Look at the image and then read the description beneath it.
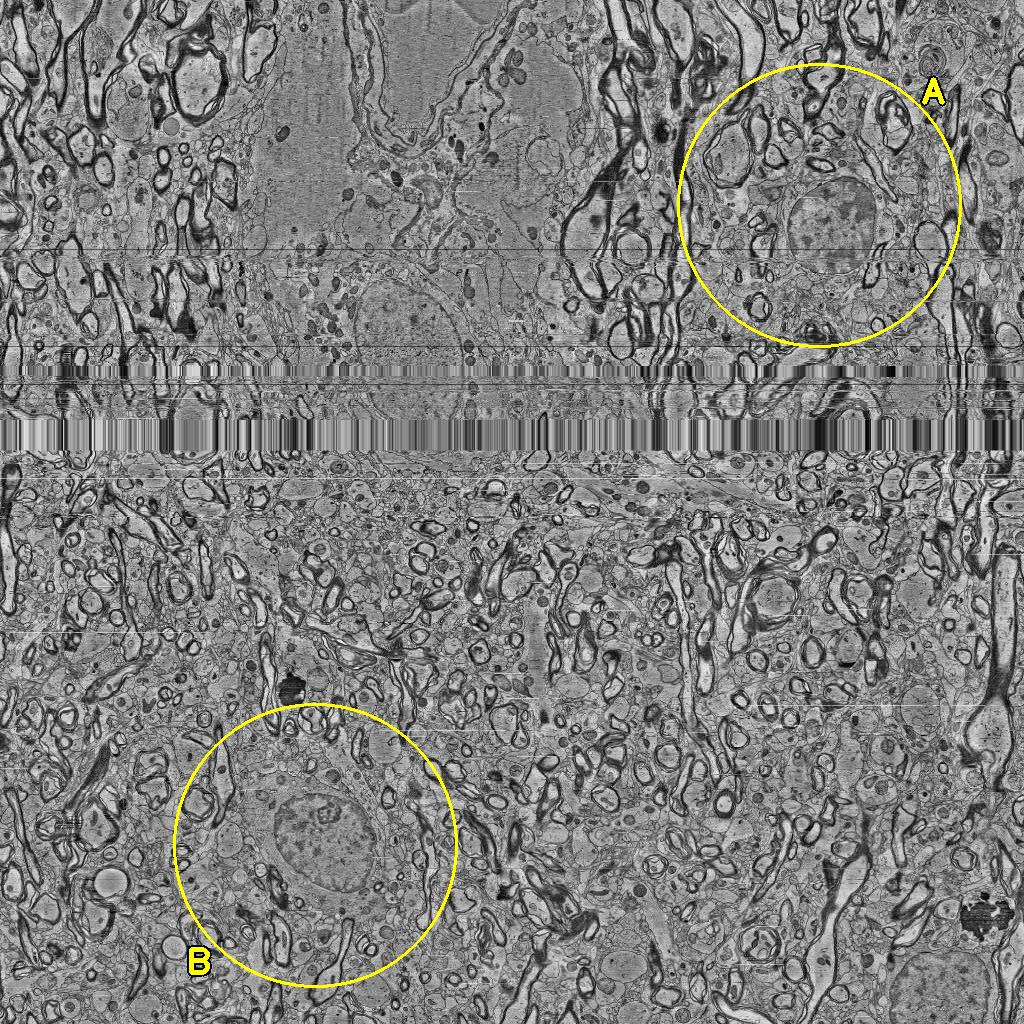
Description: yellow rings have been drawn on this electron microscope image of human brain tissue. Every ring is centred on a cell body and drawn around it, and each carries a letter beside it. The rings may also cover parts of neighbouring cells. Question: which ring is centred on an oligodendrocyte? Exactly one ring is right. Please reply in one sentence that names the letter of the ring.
It is ring B.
